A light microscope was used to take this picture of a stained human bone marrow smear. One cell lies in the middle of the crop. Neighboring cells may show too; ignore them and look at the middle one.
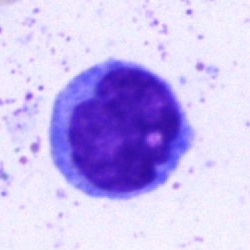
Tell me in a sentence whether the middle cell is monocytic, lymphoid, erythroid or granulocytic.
It is to the monocytic lineage that the middle cell belongs.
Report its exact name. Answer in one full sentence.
The cell marked by its central position in the crop is a monocyte.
